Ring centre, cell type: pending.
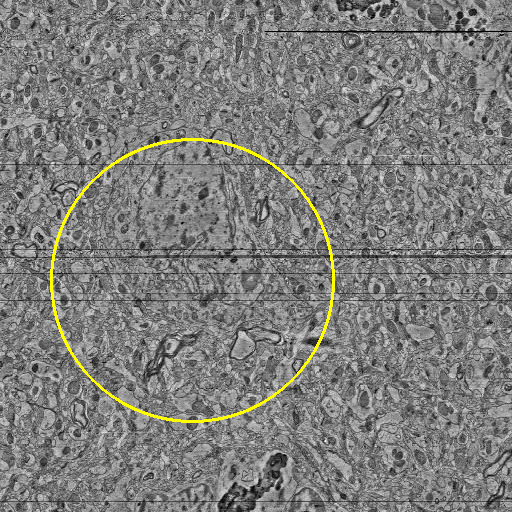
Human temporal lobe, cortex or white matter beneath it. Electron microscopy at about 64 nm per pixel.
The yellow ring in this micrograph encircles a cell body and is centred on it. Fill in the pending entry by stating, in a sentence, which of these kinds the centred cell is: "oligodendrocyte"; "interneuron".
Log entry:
The centred cell is recorded as an interneuron.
